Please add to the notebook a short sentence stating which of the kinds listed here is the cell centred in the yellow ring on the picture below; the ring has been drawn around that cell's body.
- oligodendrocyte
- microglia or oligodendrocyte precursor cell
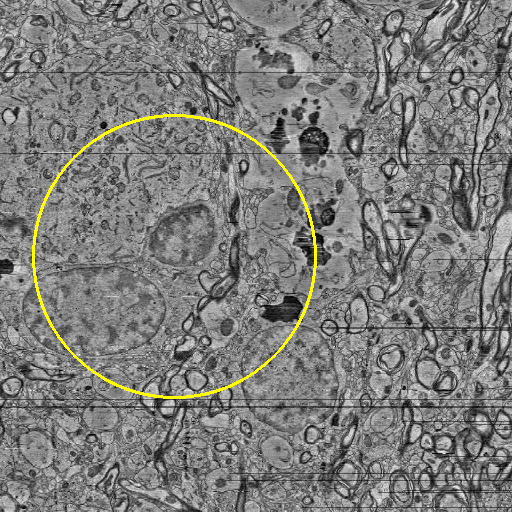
The cell centred in the yellow ring is an oligodendrocyte.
